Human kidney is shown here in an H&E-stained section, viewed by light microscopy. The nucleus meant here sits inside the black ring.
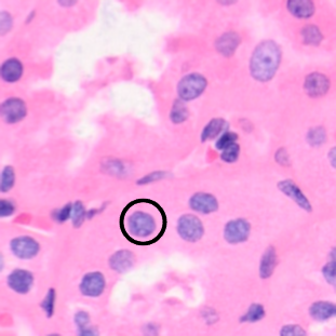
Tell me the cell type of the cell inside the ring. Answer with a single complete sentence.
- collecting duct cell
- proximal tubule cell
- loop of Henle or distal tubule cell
In the stained section, the cell inside the ring is a loop of Henle or distal tubule cell.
